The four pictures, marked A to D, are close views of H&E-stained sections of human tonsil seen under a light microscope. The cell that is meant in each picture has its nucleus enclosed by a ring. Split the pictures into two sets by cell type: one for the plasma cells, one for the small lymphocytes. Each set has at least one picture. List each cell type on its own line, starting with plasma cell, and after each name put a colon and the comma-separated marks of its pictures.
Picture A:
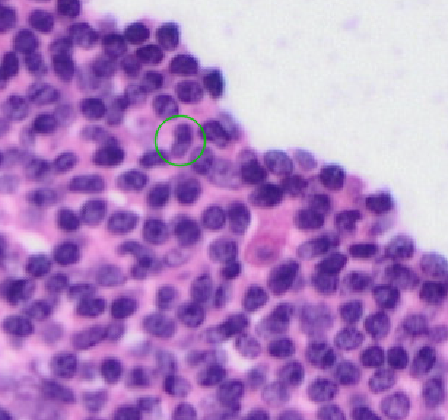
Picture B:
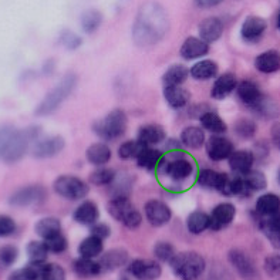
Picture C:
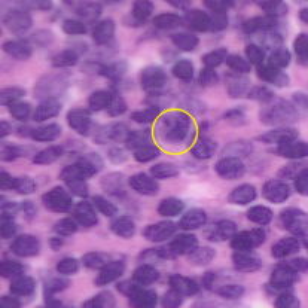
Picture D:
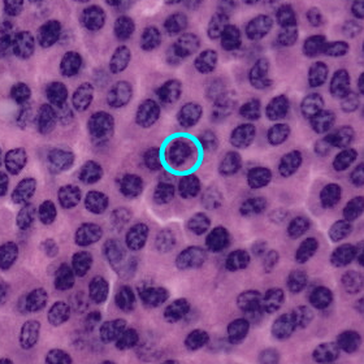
plasma cell: D
small lymphocyte: A, B, C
